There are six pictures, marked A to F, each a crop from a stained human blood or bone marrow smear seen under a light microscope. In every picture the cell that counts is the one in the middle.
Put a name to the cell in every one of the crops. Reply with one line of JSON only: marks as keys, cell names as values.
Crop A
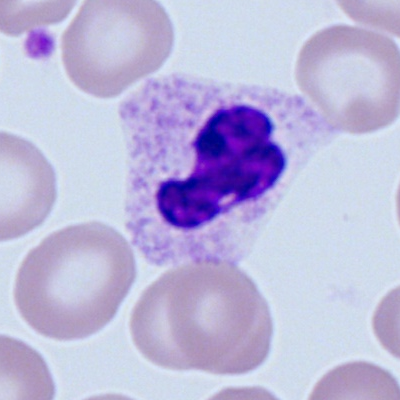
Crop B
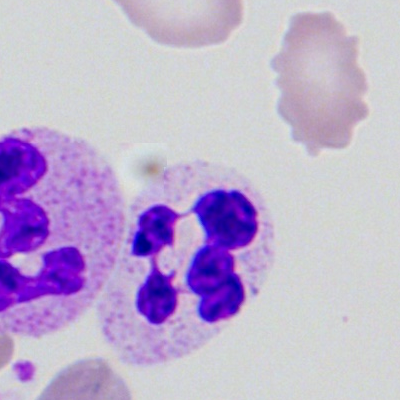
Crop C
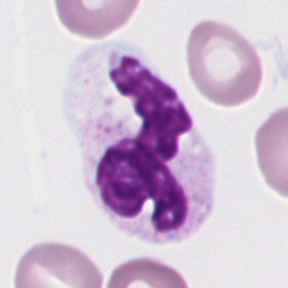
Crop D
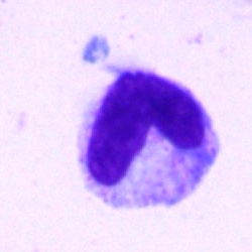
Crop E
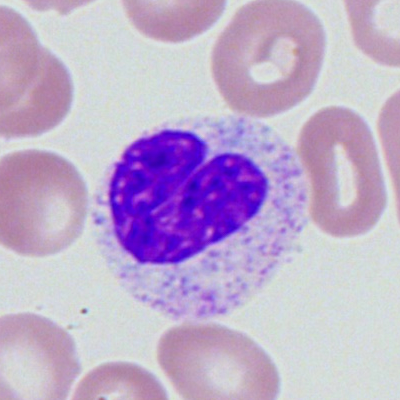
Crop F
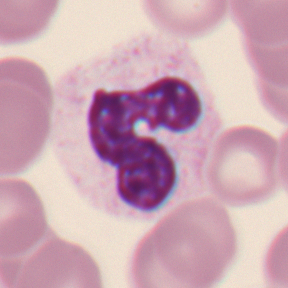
{"A": "segmented neutrophil", "B": "segmented neutrophil", "C": "segmented neutrophil", "D": "band neutrophil", "E": "band neutrophil", "F": "segmented neutrophil"}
